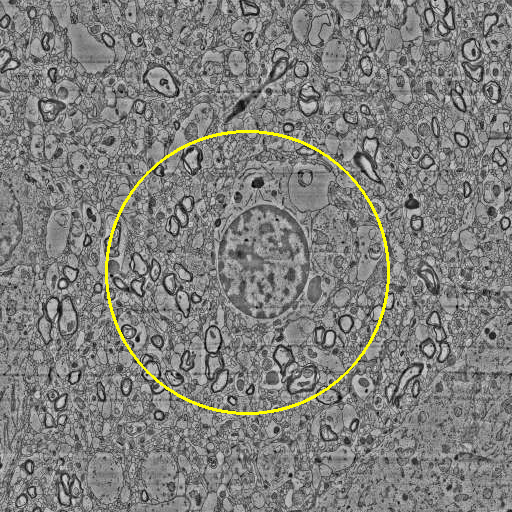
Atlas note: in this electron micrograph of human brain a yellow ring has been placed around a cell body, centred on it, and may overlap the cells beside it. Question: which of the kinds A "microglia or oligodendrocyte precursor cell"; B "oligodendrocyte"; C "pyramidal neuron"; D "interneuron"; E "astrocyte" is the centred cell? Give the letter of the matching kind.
A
